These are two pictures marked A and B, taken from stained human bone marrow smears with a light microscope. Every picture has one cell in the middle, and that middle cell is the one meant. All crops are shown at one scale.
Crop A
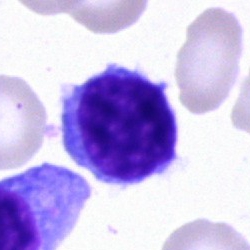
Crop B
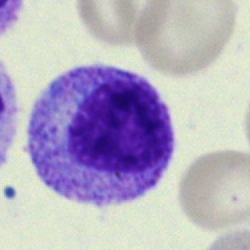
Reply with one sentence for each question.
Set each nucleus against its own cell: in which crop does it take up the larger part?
The nucleus fills more of the cell in crop A than in crop B.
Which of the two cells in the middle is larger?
Crop B holds the larger cell; it covers about 1.5 times the area of the cell in crop A.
